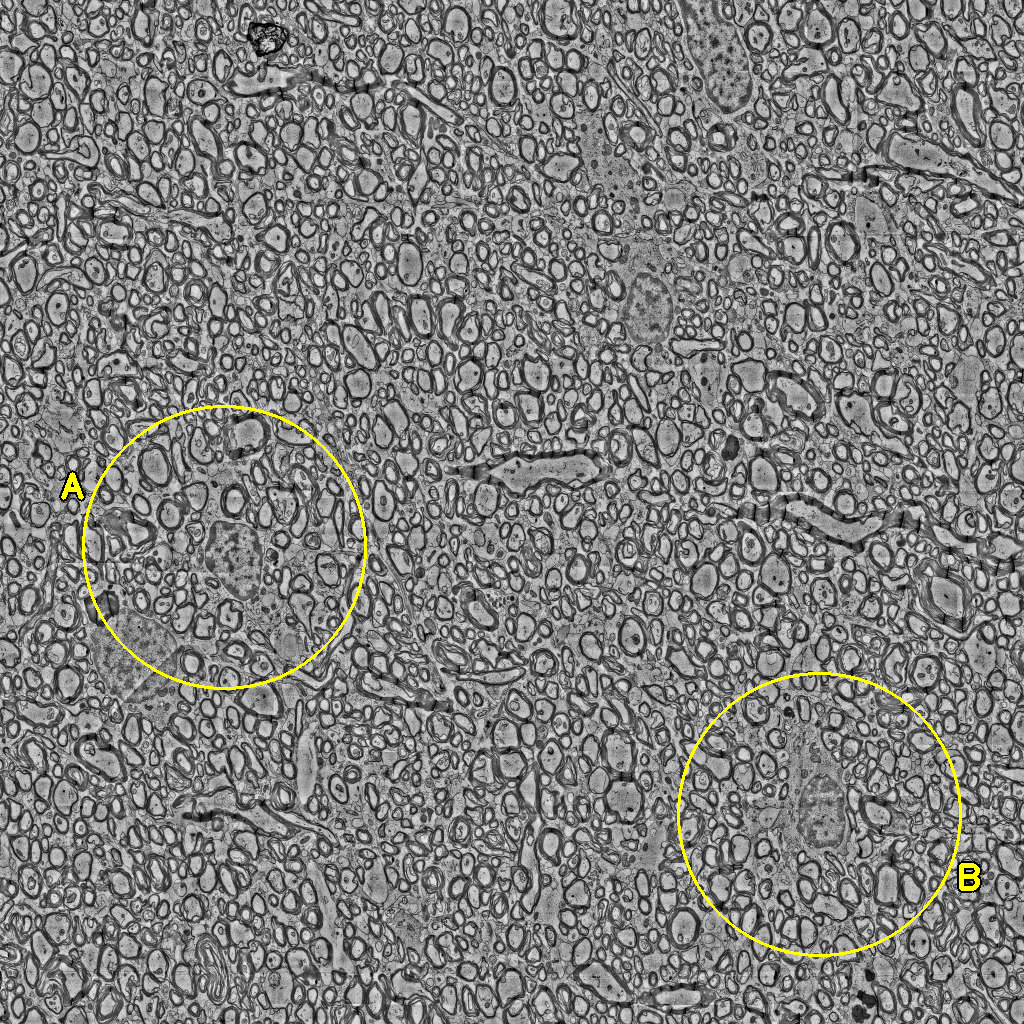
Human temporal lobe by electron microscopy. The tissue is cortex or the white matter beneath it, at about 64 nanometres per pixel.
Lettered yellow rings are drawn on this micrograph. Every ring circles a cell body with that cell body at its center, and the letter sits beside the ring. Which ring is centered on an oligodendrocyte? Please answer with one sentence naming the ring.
Ring B has it at its center.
